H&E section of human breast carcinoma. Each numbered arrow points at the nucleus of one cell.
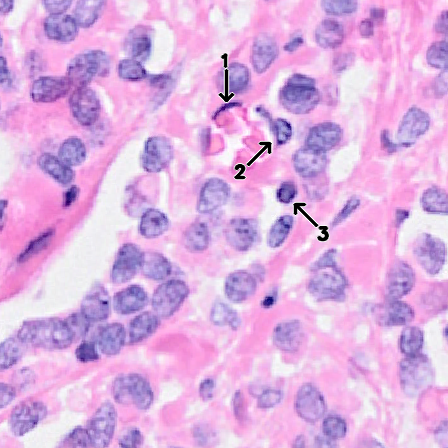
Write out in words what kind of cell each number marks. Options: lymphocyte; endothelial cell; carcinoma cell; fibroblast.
Cells 1 and 2 are endothelial cells. Cell 3 is a lymphocyte.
